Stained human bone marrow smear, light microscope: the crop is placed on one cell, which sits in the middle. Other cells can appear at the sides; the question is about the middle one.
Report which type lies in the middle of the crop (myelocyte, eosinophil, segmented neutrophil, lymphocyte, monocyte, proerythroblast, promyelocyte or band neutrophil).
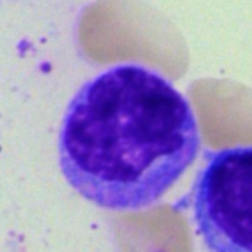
monocyte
